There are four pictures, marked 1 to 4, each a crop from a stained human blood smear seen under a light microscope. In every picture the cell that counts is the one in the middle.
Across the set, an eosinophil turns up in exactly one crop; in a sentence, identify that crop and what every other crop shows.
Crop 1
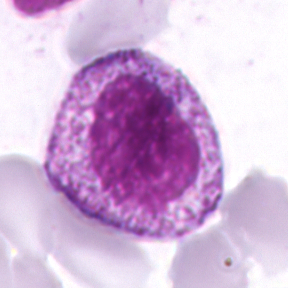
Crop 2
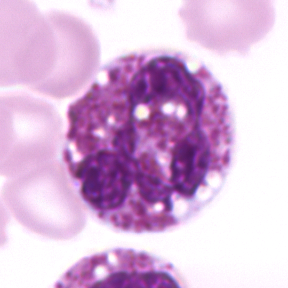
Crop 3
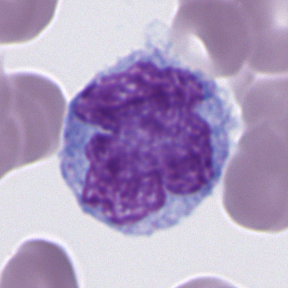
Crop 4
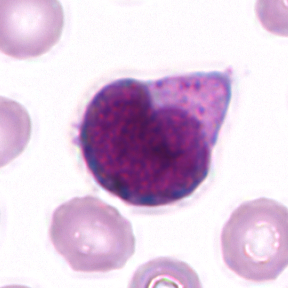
Crop 2 shows an eosinophil, and as for the other crops, crop 1 is a myelocyte, crop 3 is a monocyte and crop 4 is an atypical promyelocyte.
